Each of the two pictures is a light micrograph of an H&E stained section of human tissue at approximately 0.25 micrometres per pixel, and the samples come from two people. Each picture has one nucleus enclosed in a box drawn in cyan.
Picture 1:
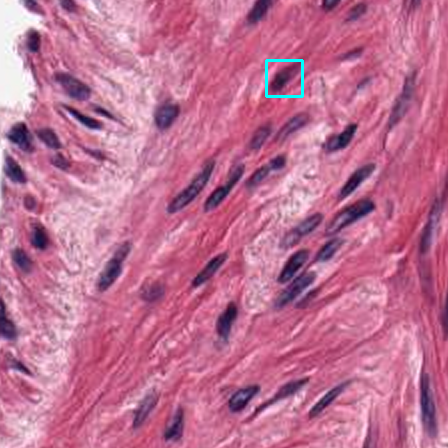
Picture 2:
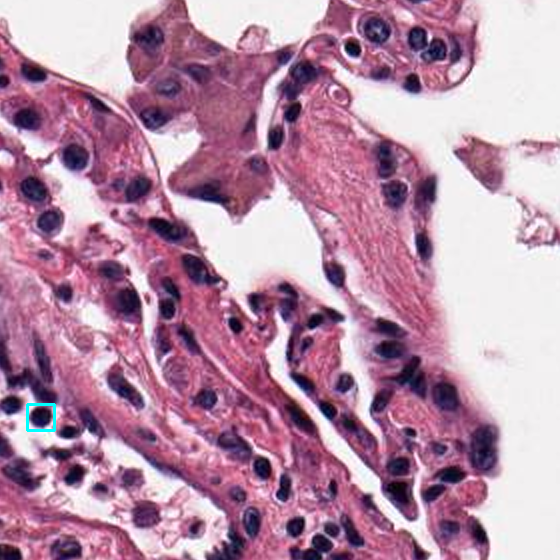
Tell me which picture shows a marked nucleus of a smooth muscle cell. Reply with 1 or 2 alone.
1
